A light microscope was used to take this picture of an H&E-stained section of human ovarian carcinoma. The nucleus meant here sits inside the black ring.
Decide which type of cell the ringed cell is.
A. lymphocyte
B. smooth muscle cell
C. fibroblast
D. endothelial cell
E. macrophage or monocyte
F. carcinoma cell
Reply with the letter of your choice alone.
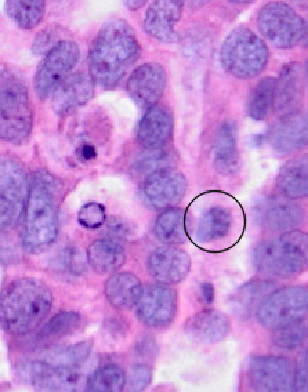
E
